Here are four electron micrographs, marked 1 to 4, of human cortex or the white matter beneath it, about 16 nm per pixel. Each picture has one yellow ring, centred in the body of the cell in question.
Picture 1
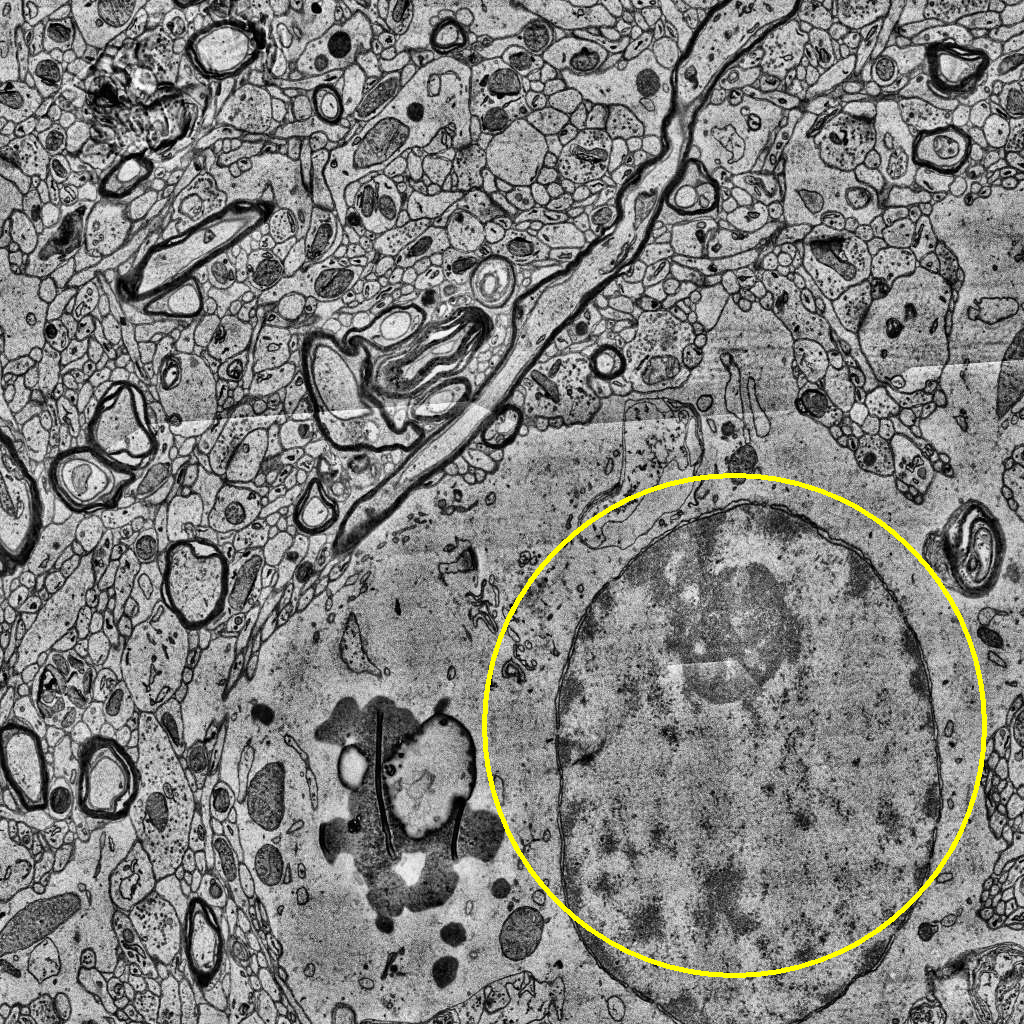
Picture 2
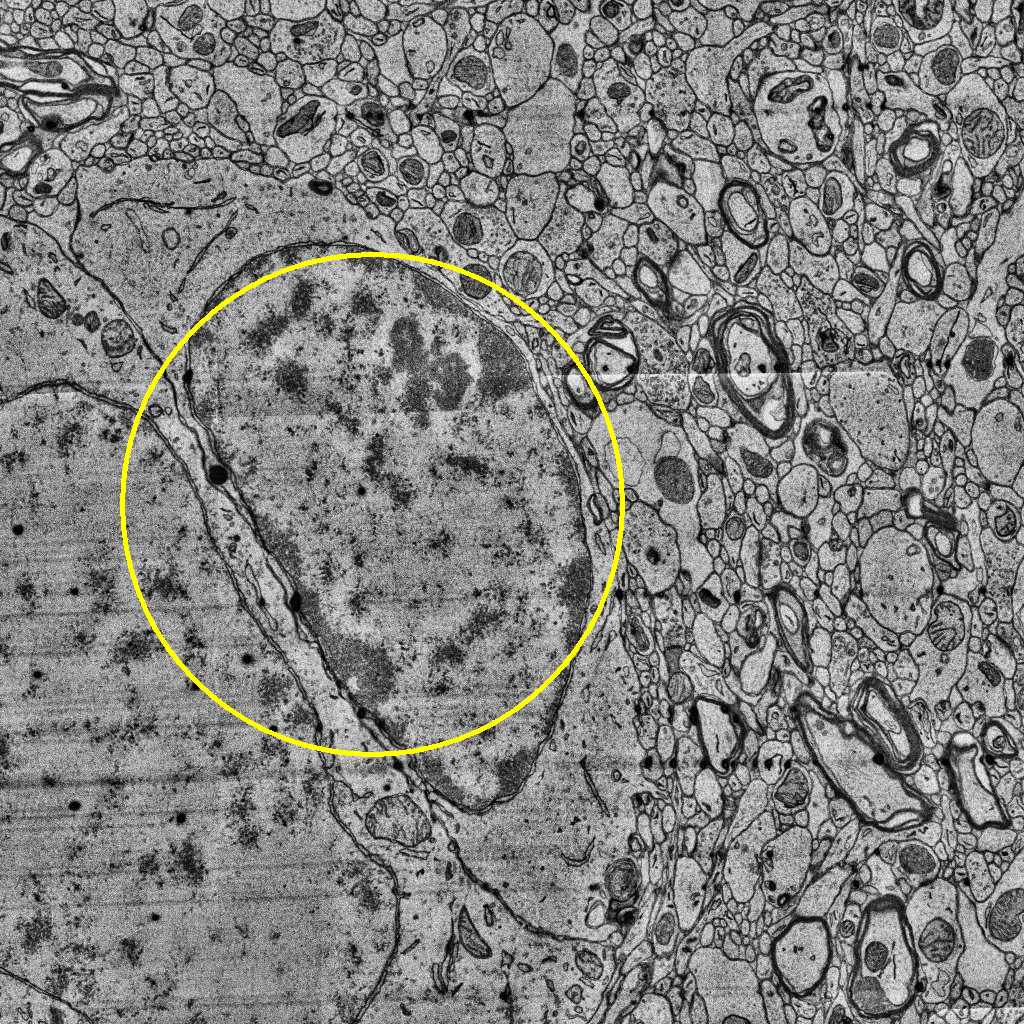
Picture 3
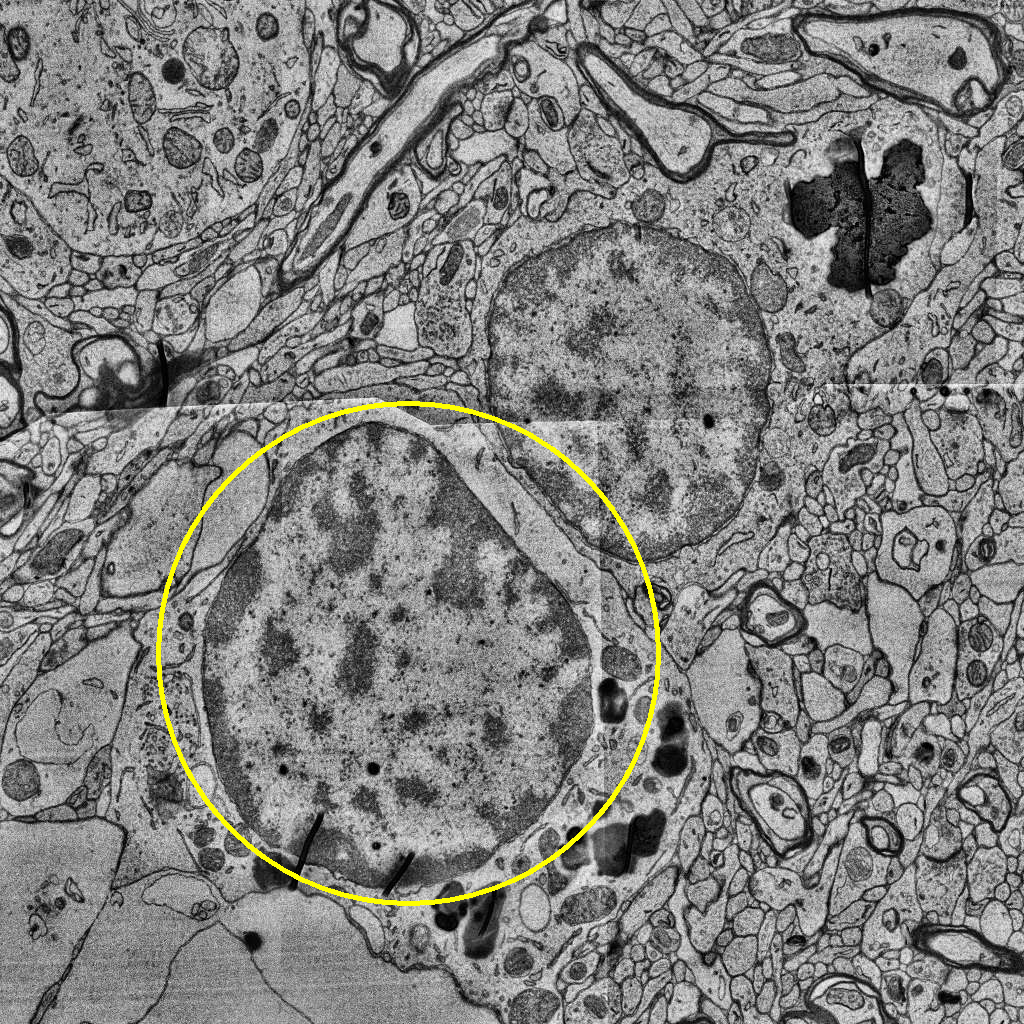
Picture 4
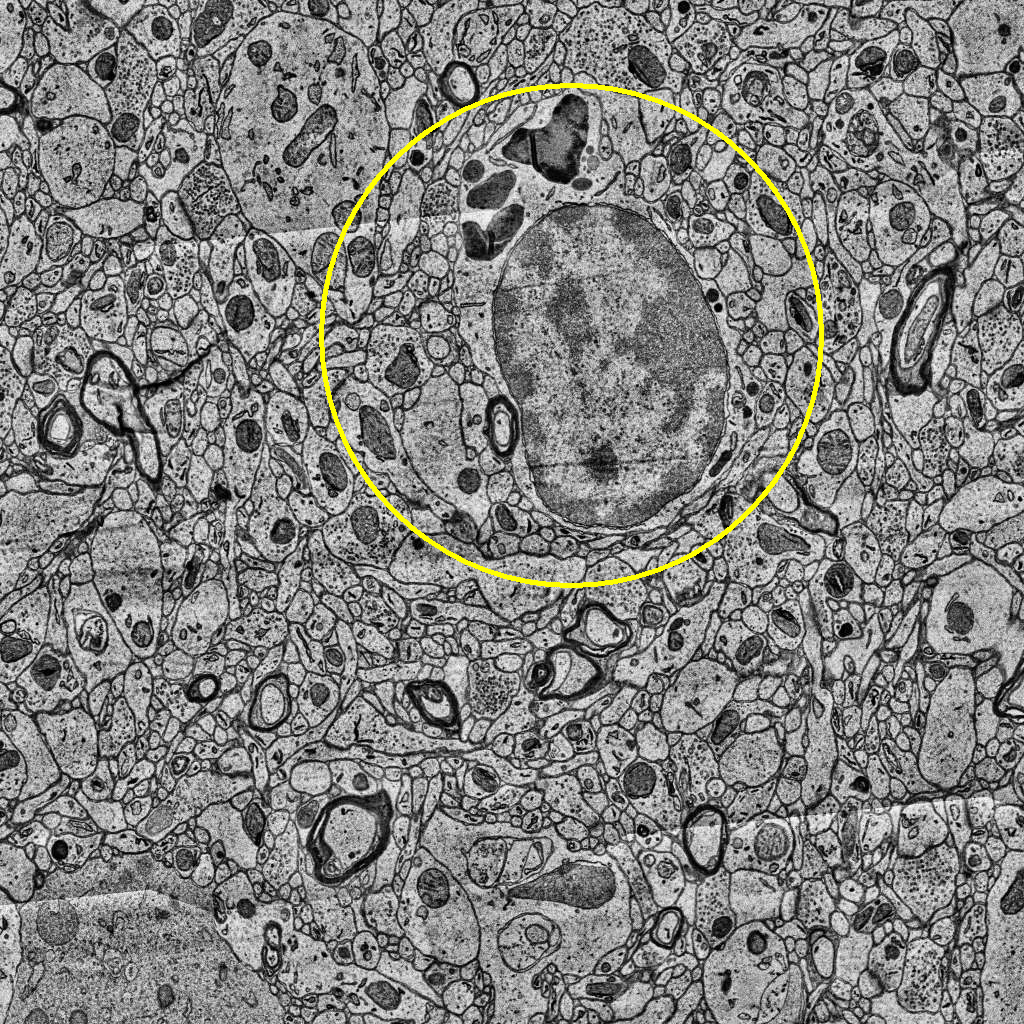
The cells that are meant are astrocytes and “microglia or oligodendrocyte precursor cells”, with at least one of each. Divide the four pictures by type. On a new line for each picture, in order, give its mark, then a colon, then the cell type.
1: astrocyte
2: microglia or oligodendrocyte precursor cell
3: microglia or oligodendrocyte precursor cell
4: microglia or oligodendrocyte precursor cell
